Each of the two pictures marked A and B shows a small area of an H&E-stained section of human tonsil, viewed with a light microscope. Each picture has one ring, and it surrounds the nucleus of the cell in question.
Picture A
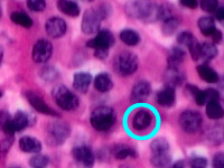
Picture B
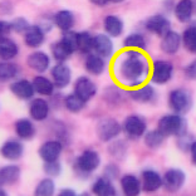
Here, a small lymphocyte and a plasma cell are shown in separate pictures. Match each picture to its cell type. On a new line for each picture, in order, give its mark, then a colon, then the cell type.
A: plasma cell
B: small lymphocyte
